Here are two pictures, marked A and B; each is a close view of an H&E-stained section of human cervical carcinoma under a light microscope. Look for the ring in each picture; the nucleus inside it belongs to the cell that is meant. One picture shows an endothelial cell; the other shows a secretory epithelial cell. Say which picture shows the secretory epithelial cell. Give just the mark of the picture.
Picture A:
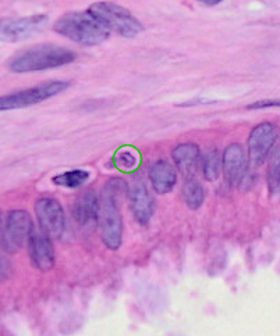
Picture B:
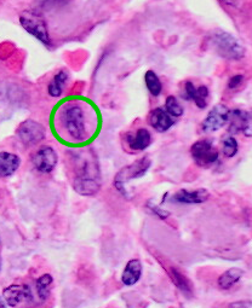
A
